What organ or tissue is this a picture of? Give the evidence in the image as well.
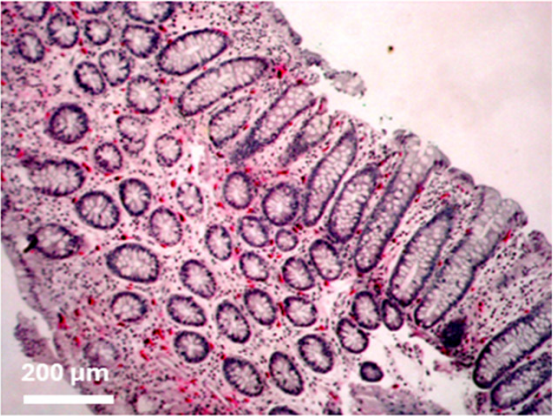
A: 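Straight tubular crypts run perpendicular to a flat surface. Crypts cut across show rings of pale mucin-filled goblet cells. No villi are seen.
Conclusion: colon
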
